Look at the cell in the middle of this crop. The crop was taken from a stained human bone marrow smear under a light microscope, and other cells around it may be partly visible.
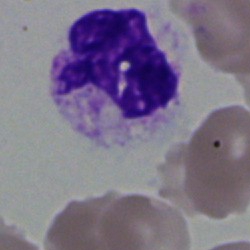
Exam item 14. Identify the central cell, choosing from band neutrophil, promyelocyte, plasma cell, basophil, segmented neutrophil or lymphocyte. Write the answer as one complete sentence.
What the crop centres on is a segmented neutrophil.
